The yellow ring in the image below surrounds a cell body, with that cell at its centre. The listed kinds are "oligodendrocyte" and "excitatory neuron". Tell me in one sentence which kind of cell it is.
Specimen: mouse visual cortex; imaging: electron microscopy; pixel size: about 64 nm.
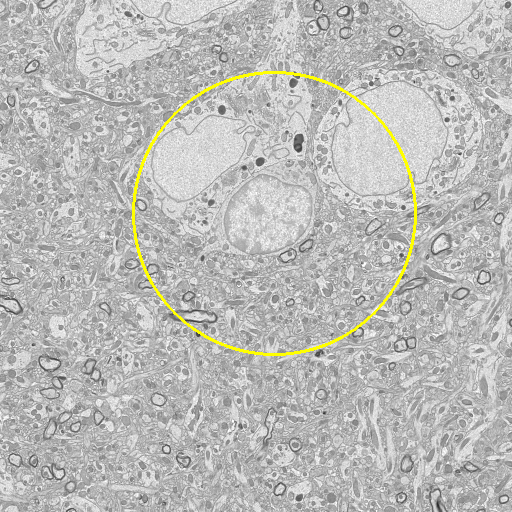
The centre of the ring holds an oligodendrocyte.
